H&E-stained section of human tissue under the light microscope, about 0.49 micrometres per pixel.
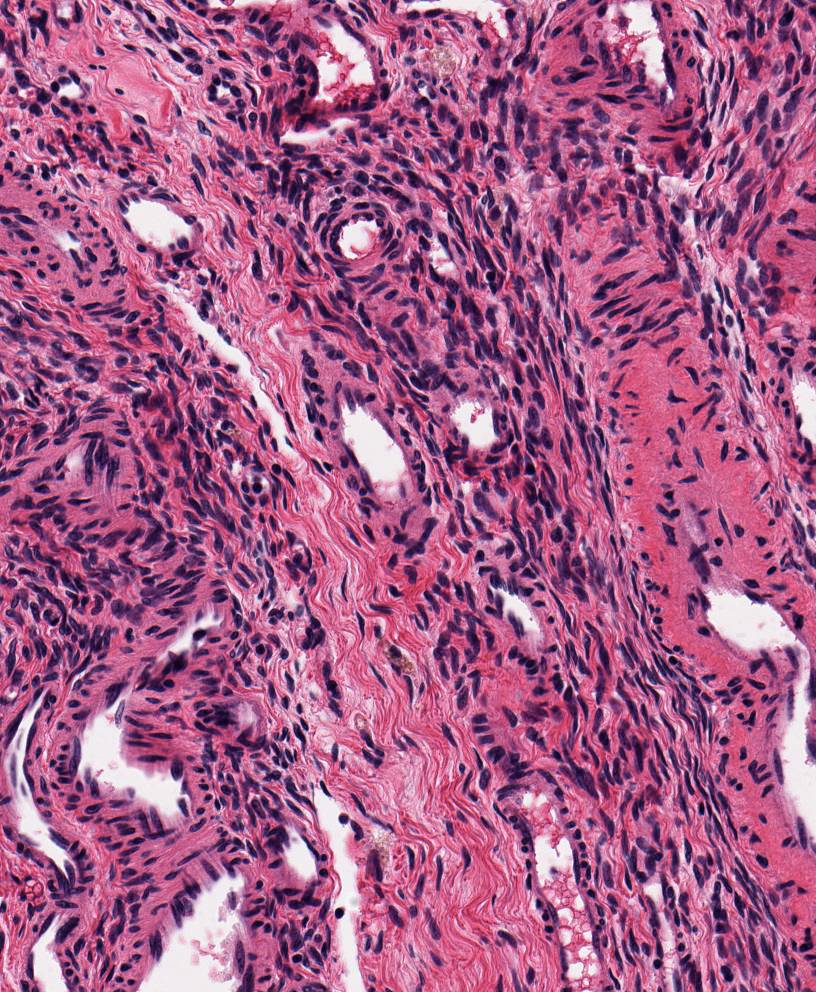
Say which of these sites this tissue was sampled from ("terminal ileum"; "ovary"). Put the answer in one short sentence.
The site this tissue was sampled from is the ovary.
